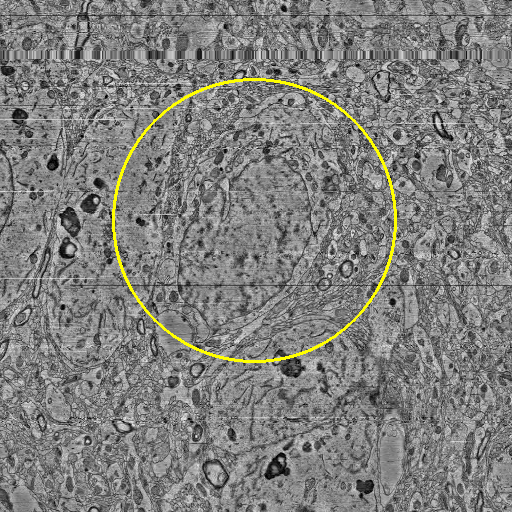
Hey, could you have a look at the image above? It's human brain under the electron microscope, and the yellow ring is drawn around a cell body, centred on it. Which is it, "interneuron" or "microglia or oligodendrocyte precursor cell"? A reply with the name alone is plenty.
interneuron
